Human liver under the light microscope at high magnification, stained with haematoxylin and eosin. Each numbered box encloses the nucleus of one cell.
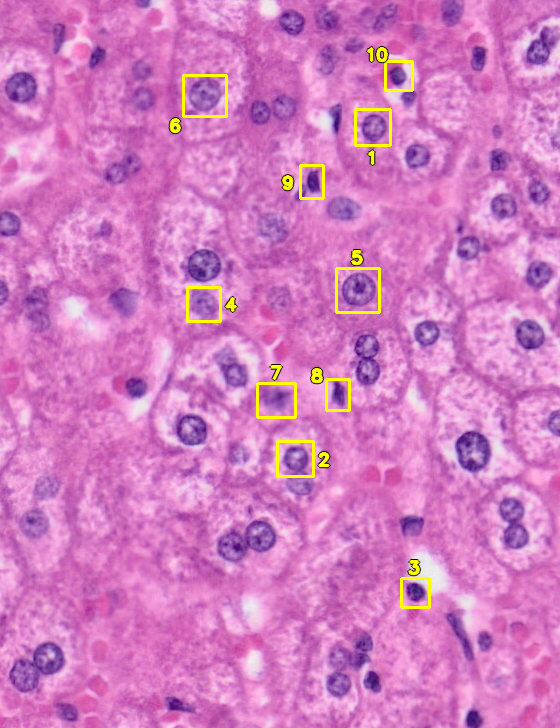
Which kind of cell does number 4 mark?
hepatocyte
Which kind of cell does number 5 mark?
hepatocyte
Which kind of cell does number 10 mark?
lymphocyte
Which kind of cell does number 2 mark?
hepatocyte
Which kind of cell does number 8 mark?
endothelial cell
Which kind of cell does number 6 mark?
hepatocyte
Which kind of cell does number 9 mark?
fibroblast or stellate cell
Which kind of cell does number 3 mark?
lymphocyte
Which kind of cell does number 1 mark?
hepatocyte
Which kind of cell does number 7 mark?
endothelial cell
